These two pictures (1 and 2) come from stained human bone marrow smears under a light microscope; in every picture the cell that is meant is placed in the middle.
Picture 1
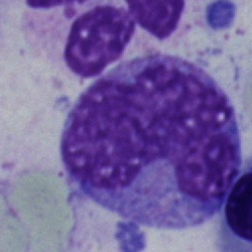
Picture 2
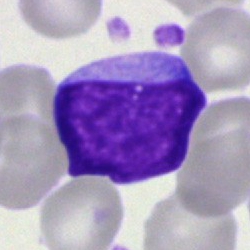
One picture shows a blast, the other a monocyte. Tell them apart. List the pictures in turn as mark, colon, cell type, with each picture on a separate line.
1: monocyte
2: blast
